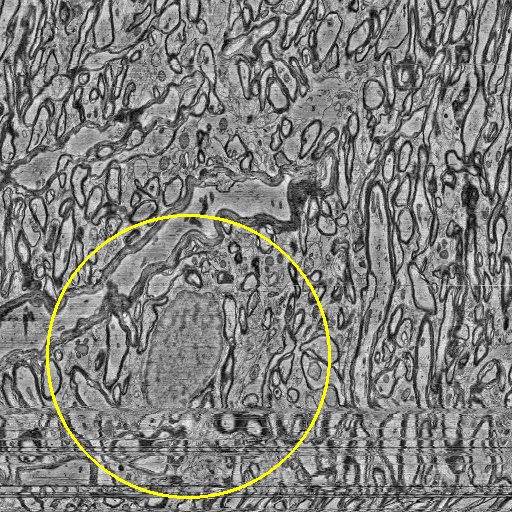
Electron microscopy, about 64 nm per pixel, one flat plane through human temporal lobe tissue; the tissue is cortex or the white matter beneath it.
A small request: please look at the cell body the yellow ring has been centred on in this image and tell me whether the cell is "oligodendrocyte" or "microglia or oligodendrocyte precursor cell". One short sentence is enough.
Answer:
The cell marked by the ring is an oligodendrocyte.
